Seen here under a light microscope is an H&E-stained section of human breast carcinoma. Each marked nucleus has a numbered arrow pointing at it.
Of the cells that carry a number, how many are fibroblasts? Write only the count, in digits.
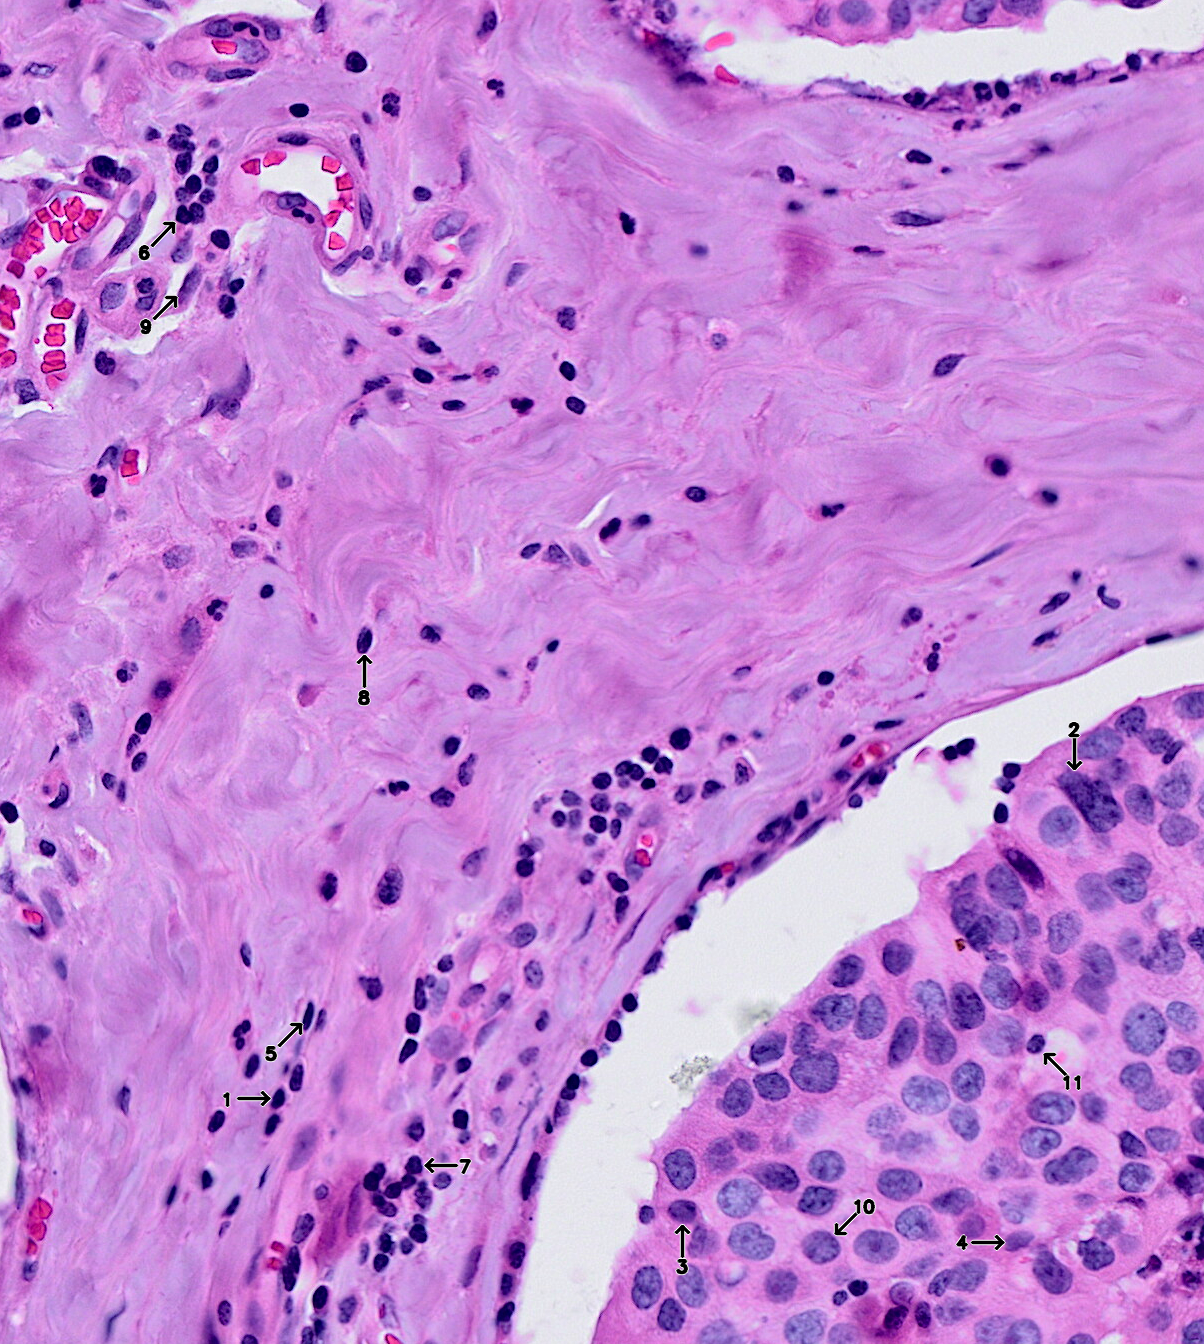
1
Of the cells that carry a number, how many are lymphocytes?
6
